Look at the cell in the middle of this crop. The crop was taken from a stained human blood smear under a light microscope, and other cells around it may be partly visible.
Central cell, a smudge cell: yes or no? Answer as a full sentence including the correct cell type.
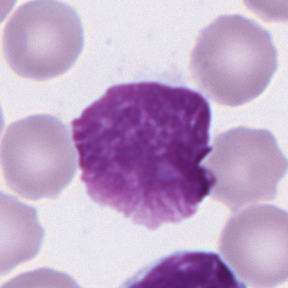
Yes, the cell in the center of this crop is a smudge cell.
